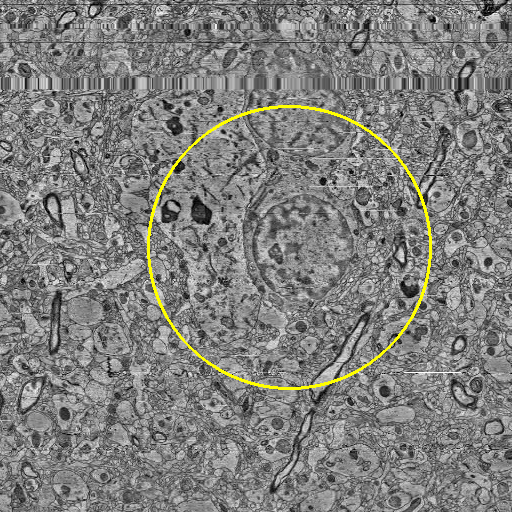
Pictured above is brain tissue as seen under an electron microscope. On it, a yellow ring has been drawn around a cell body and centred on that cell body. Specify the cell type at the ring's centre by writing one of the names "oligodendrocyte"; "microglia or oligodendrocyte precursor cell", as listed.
oligodendrocyte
